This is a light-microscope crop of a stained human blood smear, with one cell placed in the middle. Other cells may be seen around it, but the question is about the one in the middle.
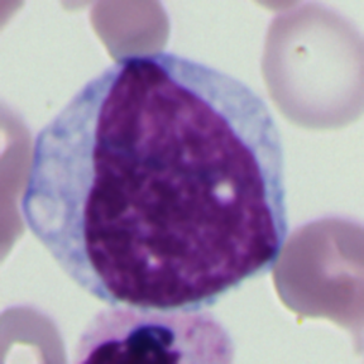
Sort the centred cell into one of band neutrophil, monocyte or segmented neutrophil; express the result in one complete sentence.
At the crop's centre, the cell is a monocyte.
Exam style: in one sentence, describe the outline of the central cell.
Smooth edges only, with no spikes, blebs, or other projections.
